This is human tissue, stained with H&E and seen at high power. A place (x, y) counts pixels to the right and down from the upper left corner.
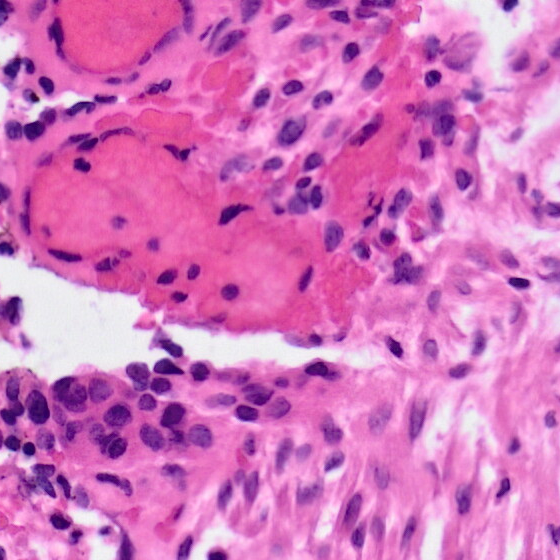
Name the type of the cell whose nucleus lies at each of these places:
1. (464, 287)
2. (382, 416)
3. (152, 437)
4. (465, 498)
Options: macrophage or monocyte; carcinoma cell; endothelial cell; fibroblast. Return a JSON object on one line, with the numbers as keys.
{"1": "fibroblast", "2": "fibroblast", "3": "carcinoma cell", "4": "fibroblast"}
